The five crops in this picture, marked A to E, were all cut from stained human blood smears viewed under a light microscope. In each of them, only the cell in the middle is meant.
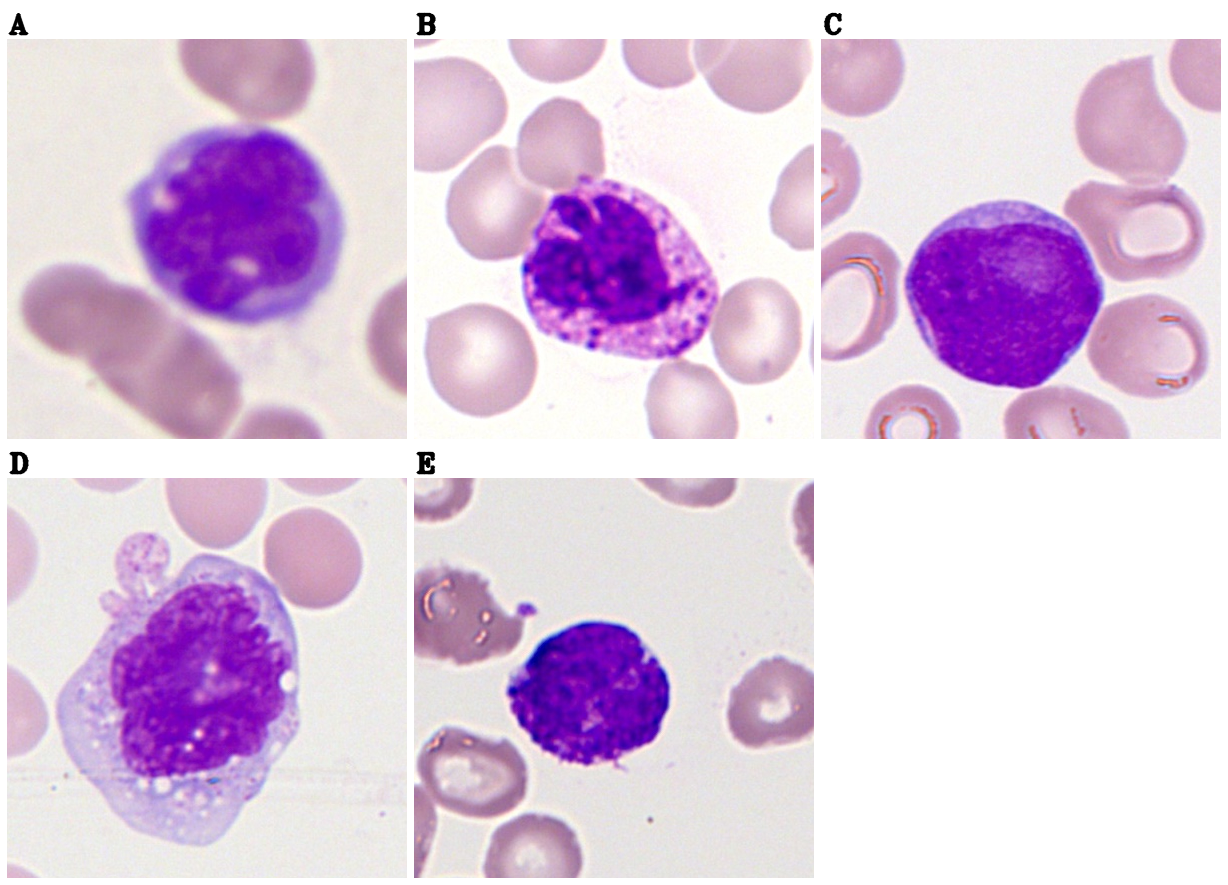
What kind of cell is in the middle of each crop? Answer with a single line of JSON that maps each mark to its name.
{"A": "monocyte", "B": "basophil", "C": "myeloblast", "D": "monocyte", "E": "basophil"}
